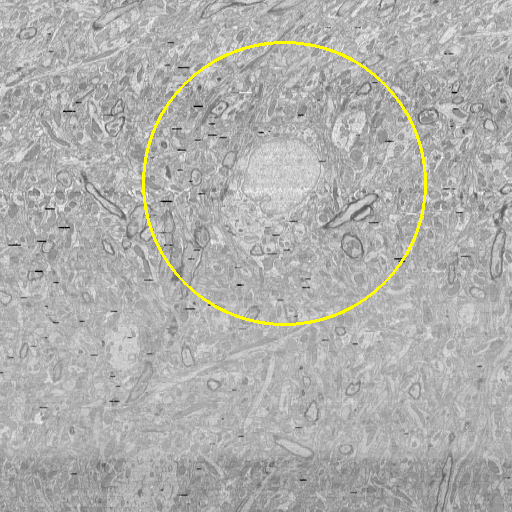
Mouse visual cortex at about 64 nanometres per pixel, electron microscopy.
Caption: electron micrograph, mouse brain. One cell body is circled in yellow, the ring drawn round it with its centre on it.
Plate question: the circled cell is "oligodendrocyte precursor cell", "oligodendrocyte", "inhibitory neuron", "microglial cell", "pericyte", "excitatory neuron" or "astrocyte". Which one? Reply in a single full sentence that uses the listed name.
The yellow ring on the plate is centred on an oligodendrocyte precursor cell, going by the listed names.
